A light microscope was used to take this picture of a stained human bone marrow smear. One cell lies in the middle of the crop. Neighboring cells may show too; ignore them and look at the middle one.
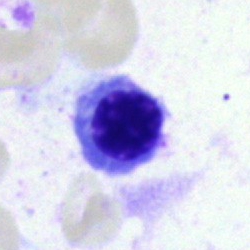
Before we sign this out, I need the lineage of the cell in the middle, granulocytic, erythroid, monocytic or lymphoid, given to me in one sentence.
The cell at the center of the crop is assigned erythroid lineage.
